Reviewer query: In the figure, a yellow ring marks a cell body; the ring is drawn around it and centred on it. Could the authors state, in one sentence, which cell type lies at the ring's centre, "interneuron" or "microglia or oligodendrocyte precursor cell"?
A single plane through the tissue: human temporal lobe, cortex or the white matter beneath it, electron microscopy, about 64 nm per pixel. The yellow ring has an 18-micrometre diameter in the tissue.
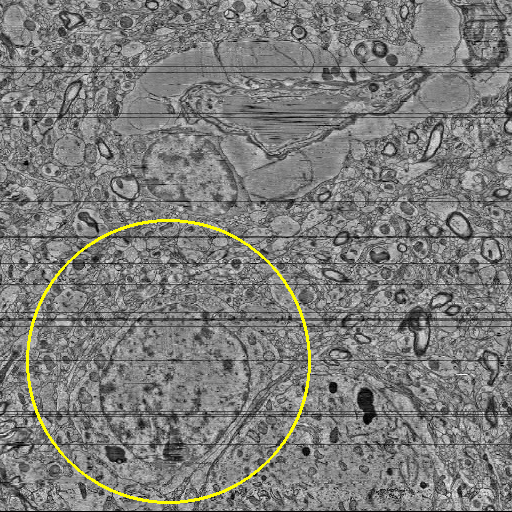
The ring is centred on an interneuron.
